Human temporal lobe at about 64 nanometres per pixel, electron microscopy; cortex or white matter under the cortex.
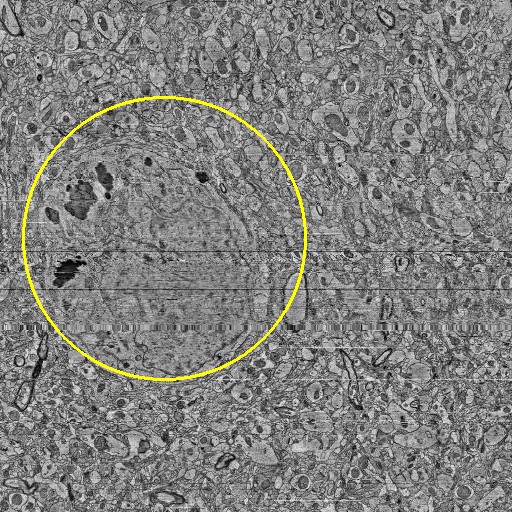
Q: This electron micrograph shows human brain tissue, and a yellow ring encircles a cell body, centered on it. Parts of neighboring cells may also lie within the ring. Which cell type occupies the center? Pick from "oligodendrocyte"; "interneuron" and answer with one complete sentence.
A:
What sits at the ring's center in this micrograph is an interneuron, among those choices.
